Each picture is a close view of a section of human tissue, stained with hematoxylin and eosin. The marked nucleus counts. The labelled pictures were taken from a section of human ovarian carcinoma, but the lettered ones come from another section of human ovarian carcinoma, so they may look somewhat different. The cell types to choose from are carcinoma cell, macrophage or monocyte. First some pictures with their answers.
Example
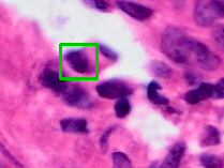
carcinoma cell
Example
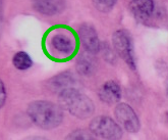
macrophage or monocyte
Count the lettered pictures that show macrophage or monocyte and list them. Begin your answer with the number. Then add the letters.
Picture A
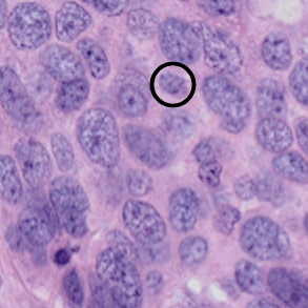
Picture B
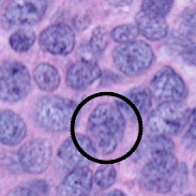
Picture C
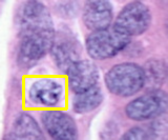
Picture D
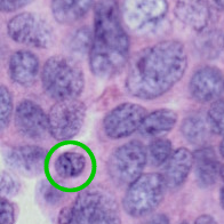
Count: 3 (A, C, D)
